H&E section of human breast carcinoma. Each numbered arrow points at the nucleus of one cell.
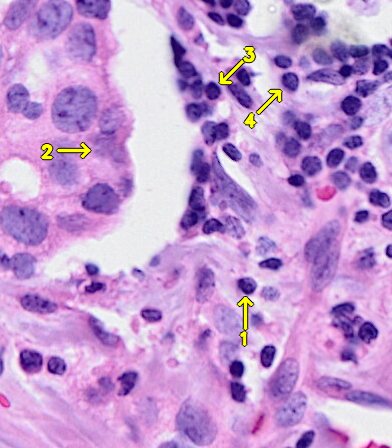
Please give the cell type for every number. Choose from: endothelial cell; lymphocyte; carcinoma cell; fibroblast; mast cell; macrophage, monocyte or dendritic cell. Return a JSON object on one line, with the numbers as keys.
{"1": "lymphocyte", "2": "carcinoma cell", "3": "lymphocyte", "4": "lymphocyte"}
